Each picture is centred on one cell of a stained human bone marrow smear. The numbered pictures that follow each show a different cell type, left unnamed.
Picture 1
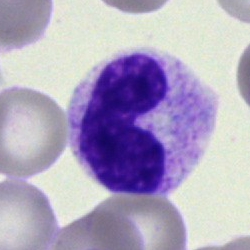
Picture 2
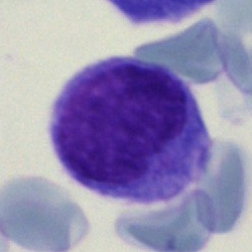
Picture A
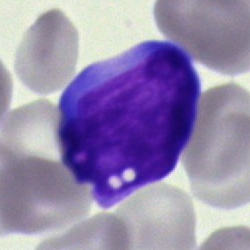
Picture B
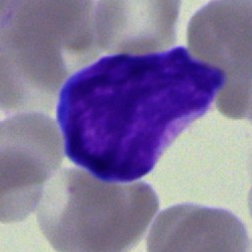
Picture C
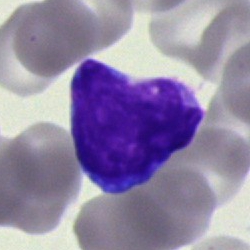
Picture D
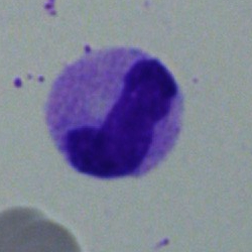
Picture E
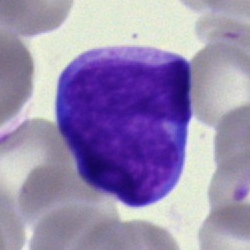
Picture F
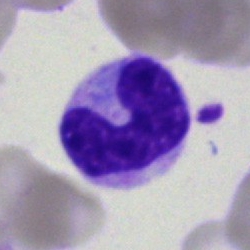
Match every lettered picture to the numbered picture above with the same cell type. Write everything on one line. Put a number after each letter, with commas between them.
A 2, B 2, C 2, D 1, E 2, F 1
